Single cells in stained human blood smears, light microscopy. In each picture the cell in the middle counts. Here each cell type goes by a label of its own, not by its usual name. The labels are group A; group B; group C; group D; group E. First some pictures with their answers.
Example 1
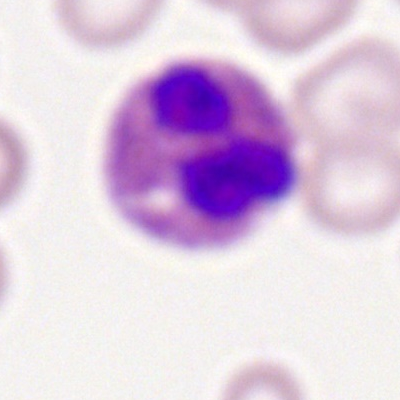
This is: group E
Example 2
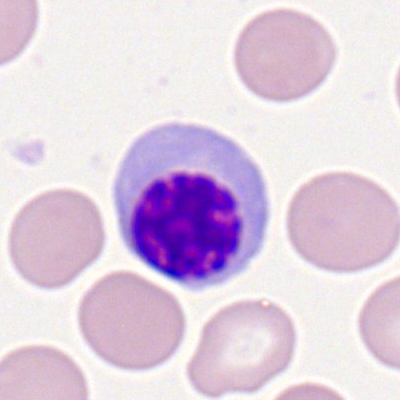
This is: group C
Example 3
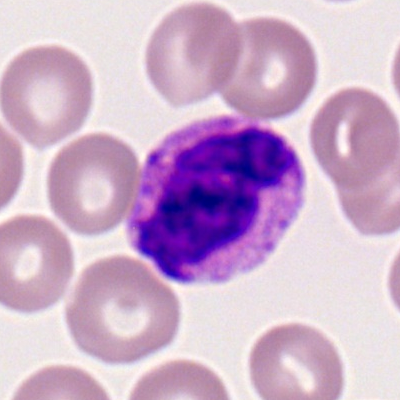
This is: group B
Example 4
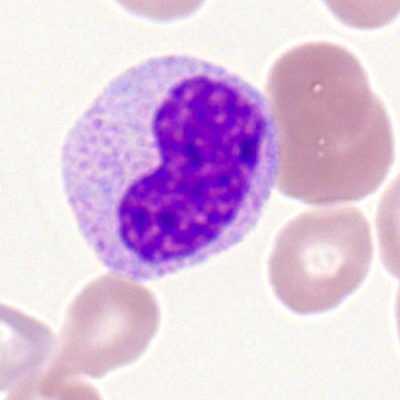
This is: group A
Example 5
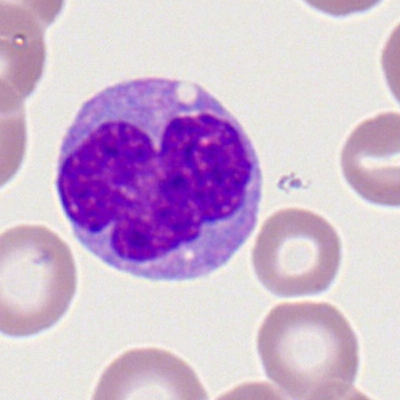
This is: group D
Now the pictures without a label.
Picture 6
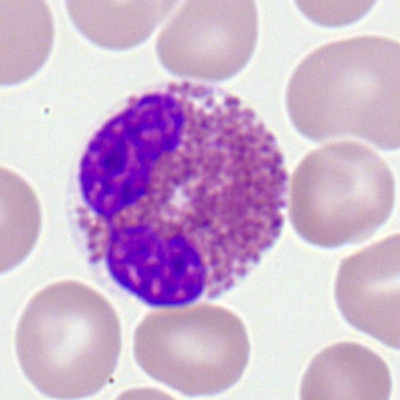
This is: group E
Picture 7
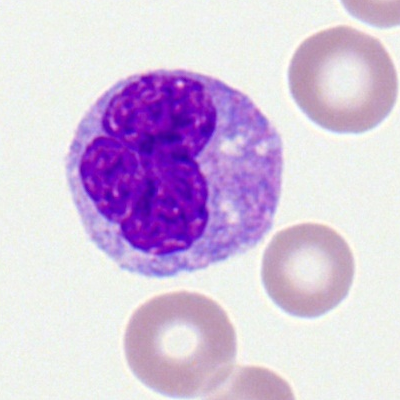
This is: group D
